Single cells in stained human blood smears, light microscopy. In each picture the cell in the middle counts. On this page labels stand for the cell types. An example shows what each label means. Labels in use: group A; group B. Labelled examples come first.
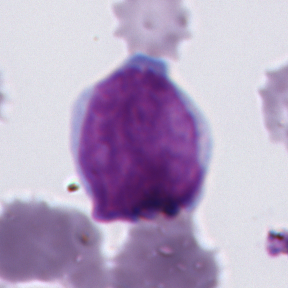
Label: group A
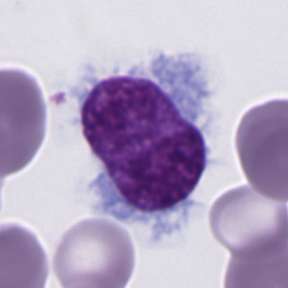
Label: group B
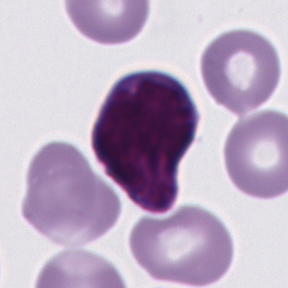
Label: group A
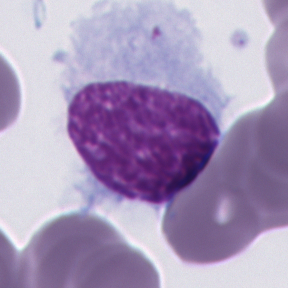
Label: group B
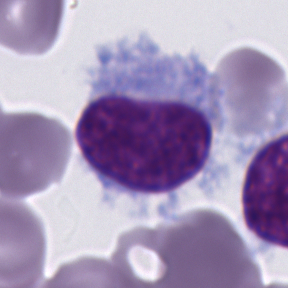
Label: group B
